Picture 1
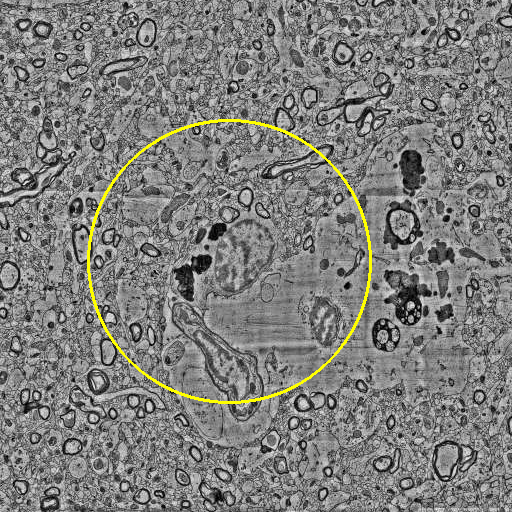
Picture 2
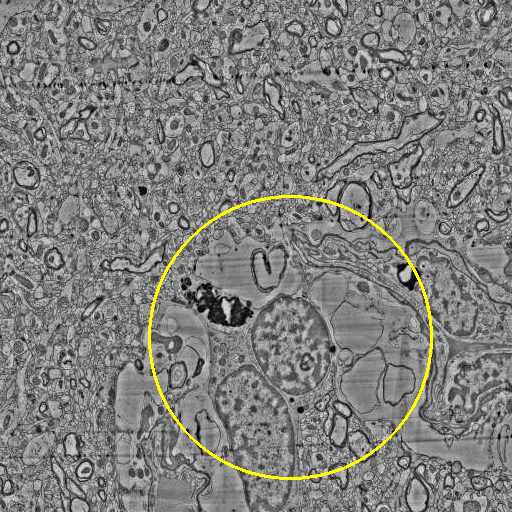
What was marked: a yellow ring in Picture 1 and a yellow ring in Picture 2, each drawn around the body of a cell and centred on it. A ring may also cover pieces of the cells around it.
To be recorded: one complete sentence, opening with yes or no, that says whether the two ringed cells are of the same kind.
Yes, the two ringed cells are of the same kind.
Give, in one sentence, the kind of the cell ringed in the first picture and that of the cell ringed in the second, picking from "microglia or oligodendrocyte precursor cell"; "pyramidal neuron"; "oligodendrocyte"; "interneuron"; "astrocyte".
Each of the two pictures has an oligodendrocyte at the ring centre.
